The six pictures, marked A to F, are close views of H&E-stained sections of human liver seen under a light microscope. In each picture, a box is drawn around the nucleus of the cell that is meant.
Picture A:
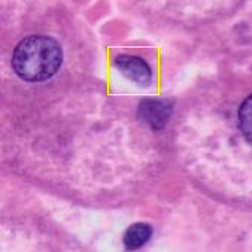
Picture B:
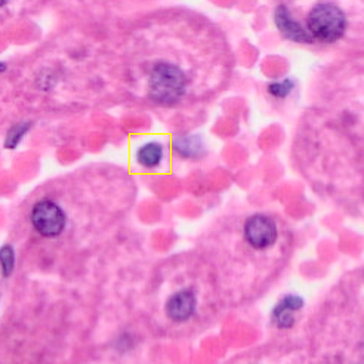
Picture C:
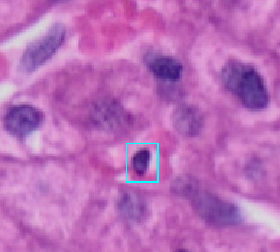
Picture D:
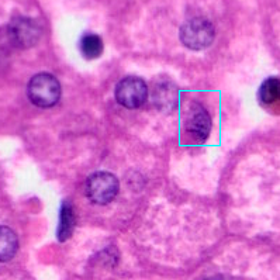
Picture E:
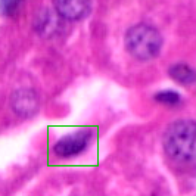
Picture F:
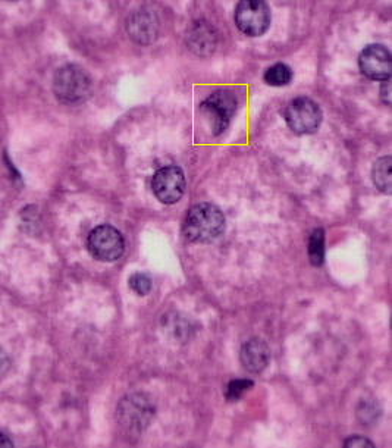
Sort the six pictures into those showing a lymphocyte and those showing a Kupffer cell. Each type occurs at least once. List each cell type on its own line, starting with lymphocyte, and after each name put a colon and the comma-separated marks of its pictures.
lymphocyte: B, C
Kupffer cell: A, D, E, F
